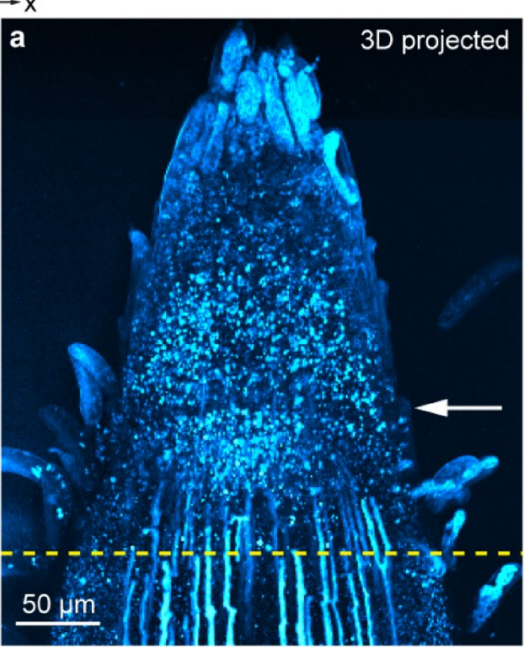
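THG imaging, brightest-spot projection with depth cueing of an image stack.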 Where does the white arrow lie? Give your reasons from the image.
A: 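Boundary between meristem and root cap. Large elongated cells crowd the very tip and detached cells lie along the sides above the arrow's level.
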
